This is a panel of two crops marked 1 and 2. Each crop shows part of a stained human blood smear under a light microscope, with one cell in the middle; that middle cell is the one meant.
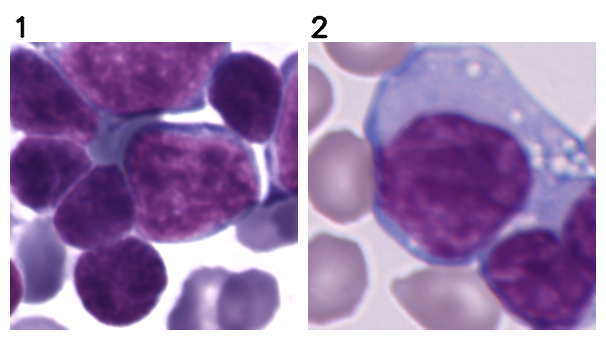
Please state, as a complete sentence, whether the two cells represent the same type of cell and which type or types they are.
Yes, that is right, both crops show myeloblasts.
